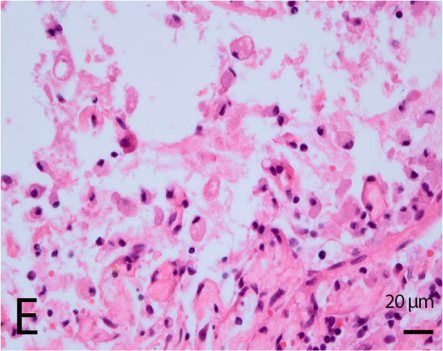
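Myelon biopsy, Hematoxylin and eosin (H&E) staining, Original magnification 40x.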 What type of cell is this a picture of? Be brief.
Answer: Macrophages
